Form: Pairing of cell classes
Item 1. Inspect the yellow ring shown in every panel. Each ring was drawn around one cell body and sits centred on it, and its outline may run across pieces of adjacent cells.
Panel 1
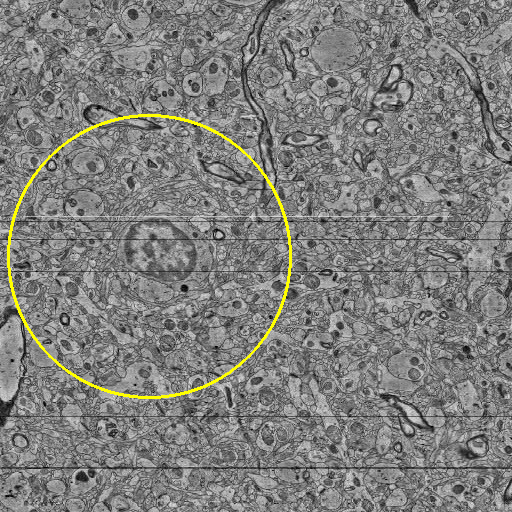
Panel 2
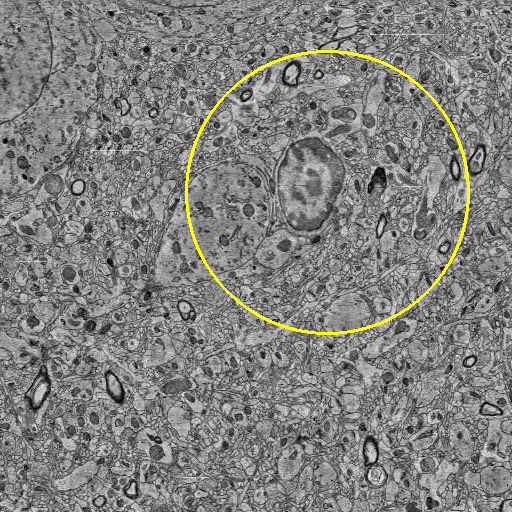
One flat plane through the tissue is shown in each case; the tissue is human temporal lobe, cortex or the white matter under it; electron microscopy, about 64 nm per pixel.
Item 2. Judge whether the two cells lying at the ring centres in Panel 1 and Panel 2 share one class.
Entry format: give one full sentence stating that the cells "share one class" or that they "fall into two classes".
The cells at the ring centres in Panel 1 and Panel 2 fall into two classes.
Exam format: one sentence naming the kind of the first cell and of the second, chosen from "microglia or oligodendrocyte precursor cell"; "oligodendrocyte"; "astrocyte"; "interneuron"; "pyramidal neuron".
The first picture's cell is an oligodendrocyte, and the second picture's cell is a microglial cell or oligodendrocyte precursor cell.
